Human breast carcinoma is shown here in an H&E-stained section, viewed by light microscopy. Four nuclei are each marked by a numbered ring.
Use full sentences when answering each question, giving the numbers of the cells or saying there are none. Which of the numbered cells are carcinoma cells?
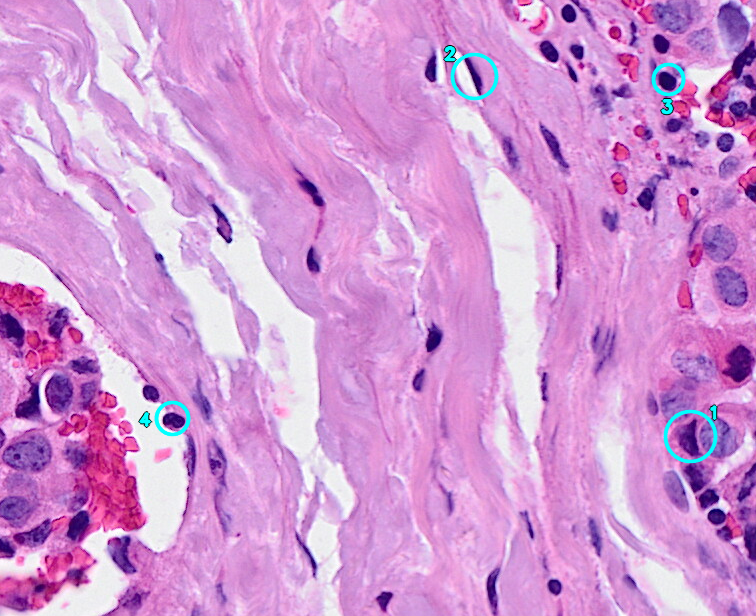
Among the numbered nuclei, only the one labelled 1 belongs to a carcinoma cell.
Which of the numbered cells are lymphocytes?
The cells with numbers 3 and 4 are lymphocytes by type.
